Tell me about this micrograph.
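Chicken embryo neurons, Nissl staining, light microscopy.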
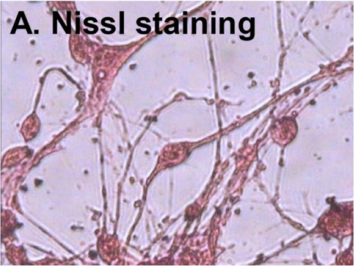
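Long thin processes leave the cell bodies and run across the field, crossing and joining into a loose network. Some processes are bundled into thicker strands between cell groups. The cell bodies are scattered singly or in small clusters along the processes. The background between them is pale and unstained.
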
